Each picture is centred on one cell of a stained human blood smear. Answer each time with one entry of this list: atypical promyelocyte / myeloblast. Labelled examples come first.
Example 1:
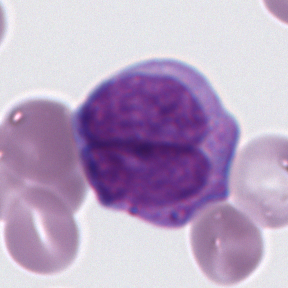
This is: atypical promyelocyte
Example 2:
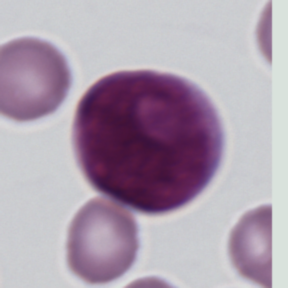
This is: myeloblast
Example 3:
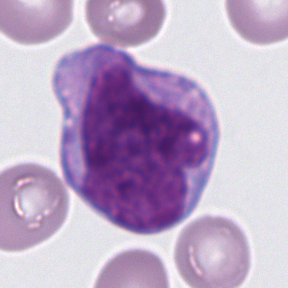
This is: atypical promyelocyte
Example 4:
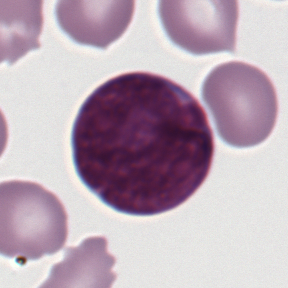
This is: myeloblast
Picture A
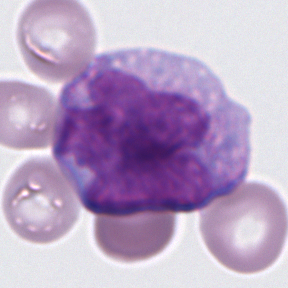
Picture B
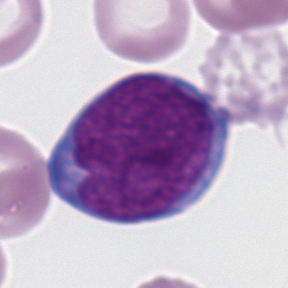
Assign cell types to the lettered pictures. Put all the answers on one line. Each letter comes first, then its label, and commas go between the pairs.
A atypical promyelocyte, B myeloblast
